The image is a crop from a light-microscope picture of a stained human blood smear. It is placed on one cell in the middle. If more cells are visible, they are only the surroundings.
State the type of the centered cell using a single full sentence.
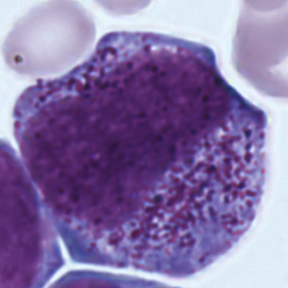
The centrally located cell in the crop is a promyelocyte.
